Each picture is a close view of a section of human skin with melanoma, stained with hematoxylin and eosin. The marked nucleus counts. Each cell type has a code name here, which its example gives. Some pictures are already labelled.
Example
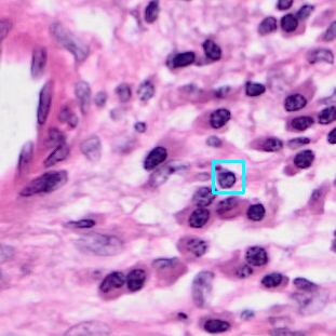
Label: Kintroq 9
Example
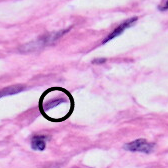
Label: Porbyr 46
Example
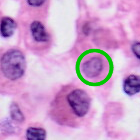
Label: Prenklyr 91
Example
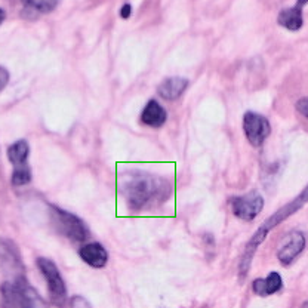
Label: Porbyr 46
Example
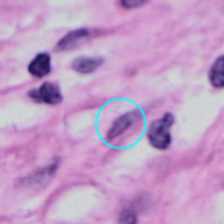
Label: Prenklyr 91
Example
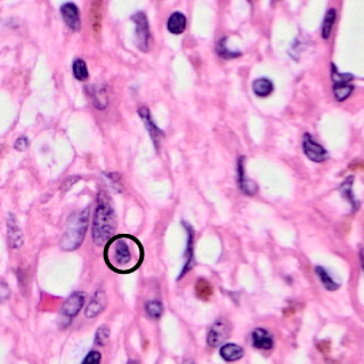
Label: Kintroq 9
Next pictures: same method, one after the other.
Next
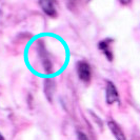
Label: Porbyr 46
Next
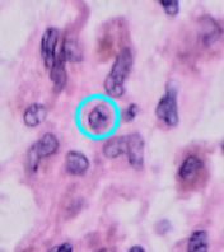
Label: Kintroq 9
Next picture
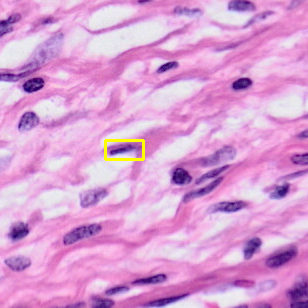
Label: Porbyr 46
